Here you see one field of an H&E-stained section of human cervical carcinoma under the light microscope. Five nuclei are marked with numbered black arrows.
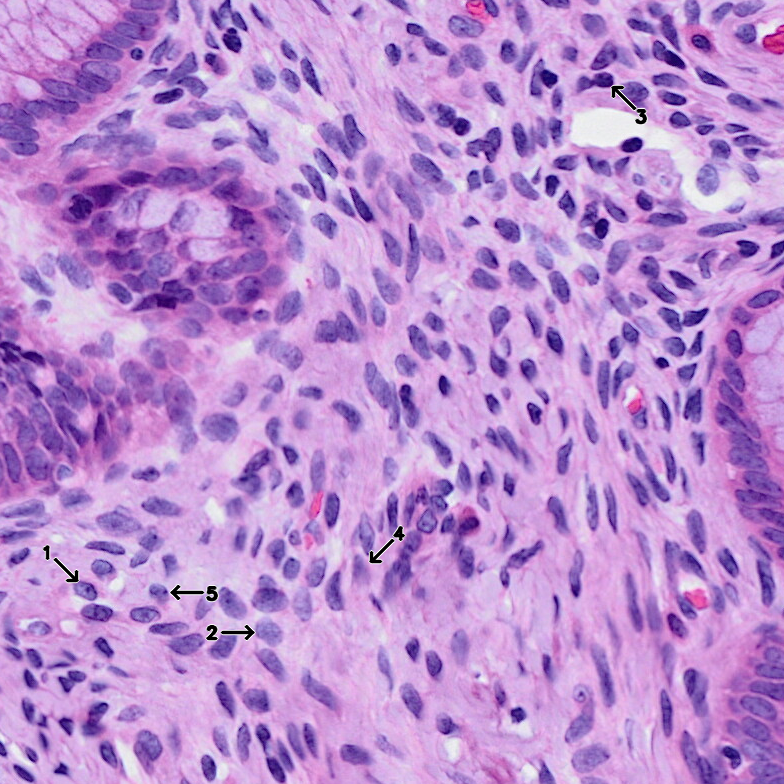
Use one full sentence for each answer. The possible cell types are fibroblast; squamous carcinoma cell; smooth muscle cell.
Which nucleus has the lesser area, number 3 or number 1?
Nucleus 3 is the smaller one; nucleus 1 covers about 1.5 times its area.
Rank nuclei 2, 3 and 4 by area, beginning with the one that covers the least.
From smallest to largest, the order is 3, 4, 2.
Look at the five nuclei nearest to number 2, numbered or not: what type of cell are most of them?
Fibroblasts make up most of the five nuclei closest to number 2.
